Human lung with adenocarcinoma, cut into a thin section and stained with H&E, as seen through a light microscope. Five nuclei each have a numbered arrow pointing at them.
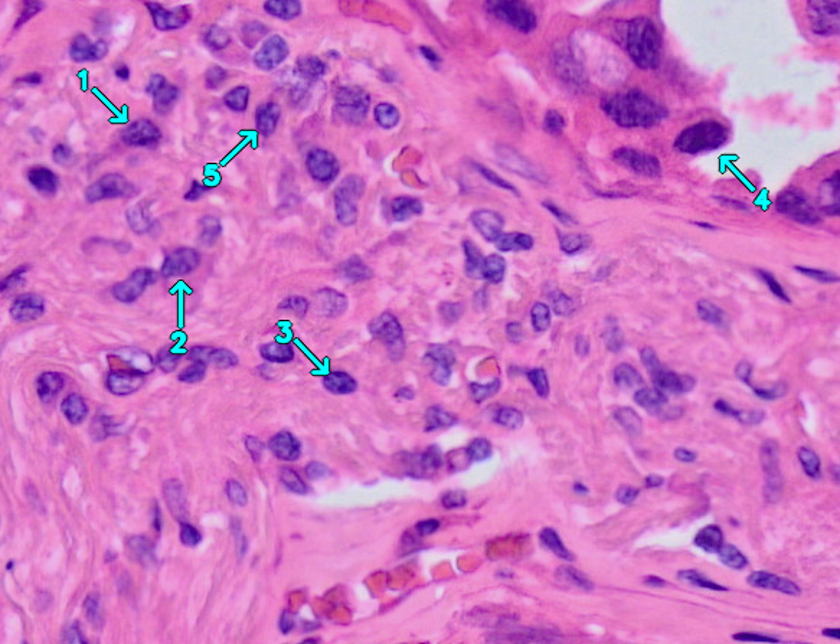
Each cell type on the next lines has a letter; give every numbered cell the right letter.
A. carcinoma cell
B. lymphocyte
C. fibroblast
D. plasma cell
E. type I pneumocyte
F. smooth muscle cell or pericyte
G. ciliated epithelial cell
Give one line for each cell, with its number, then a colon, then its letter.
1: D
2: D
3: B
4: A
5: D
